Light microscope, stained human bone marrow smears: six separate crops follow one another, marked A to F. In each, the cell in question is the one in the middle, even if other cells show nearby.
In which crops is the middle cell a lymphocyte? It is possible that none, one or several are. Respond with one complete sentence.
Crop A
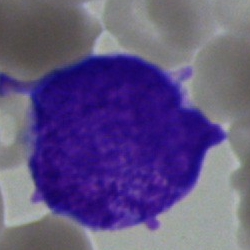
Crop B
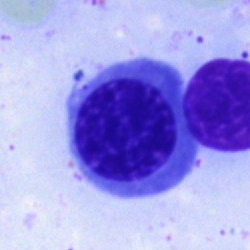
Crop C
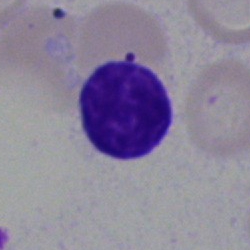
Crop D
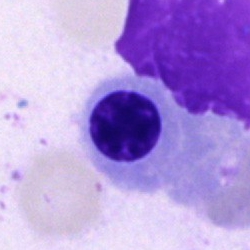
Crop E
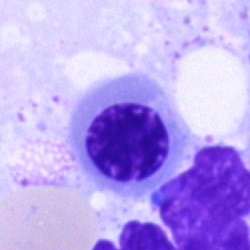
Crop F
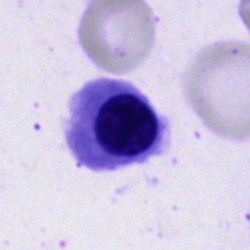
As far as the set goes, only crop C shows a lymphocyte.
